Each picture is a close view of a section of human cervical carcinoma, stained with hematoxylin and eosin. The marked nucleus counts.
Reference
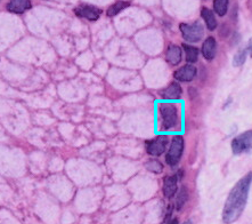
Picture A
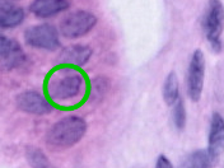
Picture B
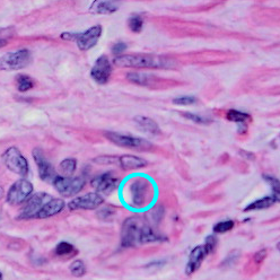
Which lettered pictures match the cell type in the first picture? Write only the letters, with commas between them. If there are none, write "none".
A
